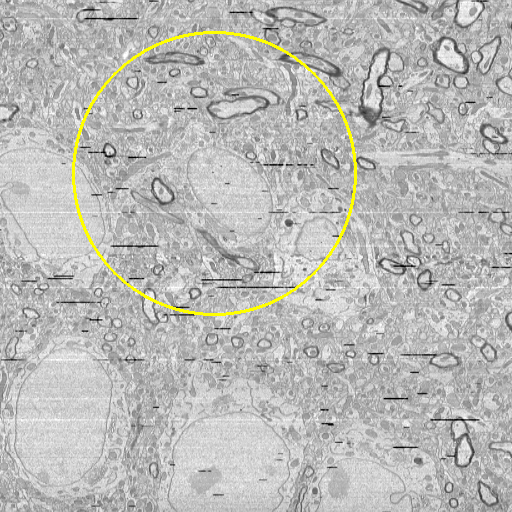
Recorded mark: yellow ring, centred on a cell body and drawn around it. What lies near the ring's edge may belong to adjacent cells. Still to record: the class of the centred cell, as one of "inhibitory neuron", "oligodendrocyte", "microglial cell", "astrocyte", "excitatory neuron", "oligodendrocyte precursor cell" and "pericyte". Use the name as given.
astrocyte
